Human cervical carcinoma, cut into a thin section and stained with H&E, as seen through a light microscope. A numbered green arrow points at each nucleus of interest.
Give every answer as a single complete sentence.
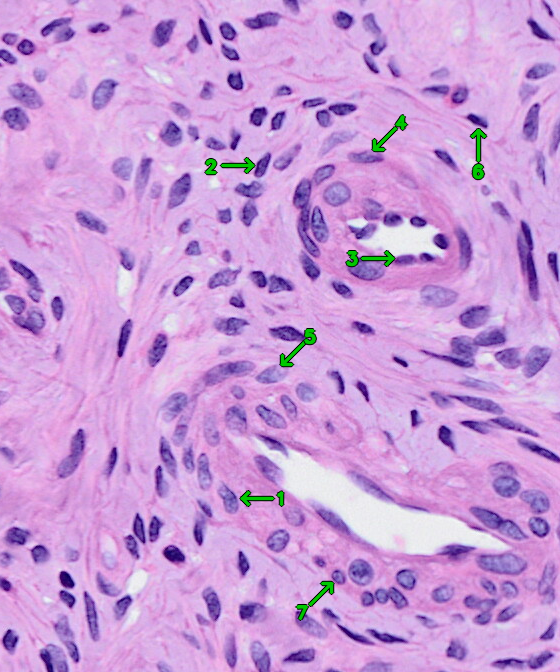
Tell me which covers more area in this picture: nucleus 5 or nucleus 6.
Nucleus 5 is larger, with an area about 2.5 times that of nucleus 6.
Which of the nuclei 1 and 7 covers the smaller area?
Number 7 is smaller, since number 1 takes up about 3 times as much area.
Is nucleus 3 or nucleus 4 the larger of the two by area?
Of the two, number 4 is bigger and takes up about 2 times the area of number 3.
